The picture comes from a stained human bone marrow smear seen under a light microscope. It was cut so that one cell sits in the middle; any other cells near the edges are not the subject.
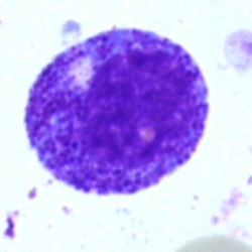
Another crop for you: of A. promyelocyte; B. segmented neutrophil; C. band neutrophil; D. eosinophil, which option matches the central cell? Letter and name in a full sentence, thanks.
The right choice is option A: the cell in the middle is a promyelocyte.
